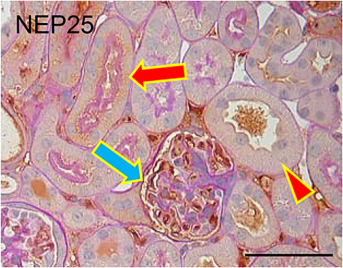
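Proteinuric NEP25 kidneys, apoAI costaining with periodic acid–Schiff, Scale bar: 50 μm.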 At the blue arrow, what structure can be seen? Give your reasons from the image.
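The arrow points at a round knot of capillary loops with magenta walls and brown stain. The knot sits within a capsule among cross-sectioned tubules.
Glomerular capillary tuft.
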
